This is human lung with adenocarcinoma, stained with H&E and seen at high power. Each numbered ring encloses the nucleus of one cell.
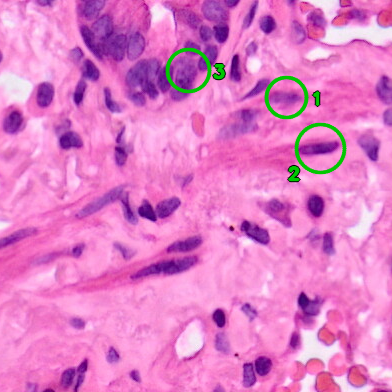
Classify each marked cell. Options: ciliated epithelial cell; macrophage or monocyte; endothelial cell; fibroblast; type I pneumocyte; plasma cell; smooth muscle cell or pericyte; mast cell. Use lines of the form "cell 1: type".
cell 1: smooth muscle cell or pericyte
cell 2: smooth muscle cell or pericyte
cell 3: ciliated epithelial cell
